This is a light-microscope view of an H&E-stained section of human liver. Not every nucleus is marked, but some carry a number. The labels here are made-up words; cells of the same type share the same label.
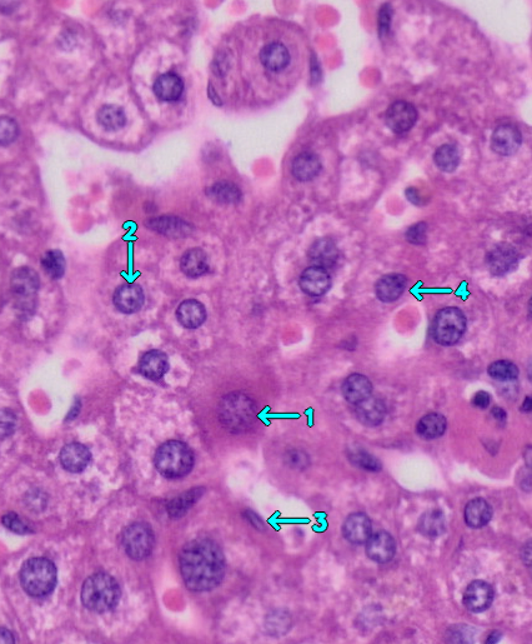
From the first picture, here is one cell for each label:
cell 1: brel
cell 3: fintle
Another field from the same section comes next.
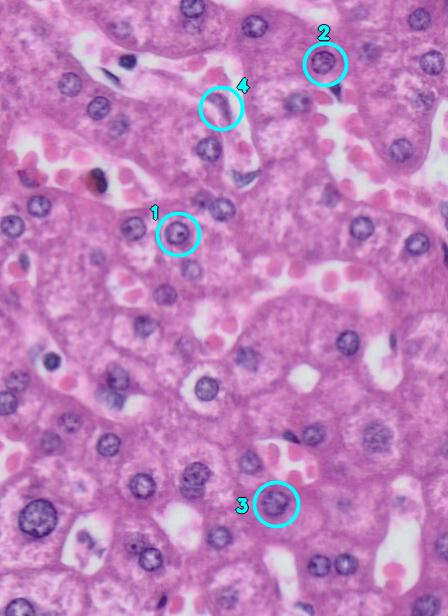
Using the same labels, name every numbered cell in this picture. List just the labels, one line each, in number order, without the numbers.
brel
brel
brel
fintle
